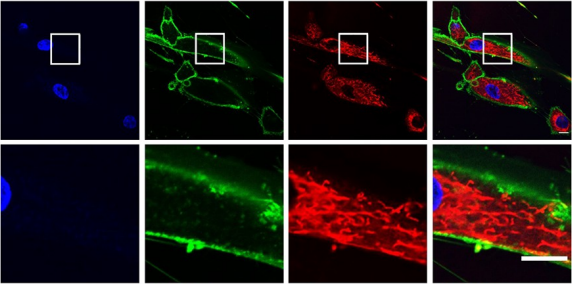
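The cytoplasm is filled with red mitochondria forming long, thread-like, interconnected filaments that run largely along the long axis of the cell and spread from around the nucleus towards the tapering ends. In the enlargement the mitochondria appear as a dense, intertwined tubular network lying inside the green-bounded cell, with the edge of a blue nucleus at one side.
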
